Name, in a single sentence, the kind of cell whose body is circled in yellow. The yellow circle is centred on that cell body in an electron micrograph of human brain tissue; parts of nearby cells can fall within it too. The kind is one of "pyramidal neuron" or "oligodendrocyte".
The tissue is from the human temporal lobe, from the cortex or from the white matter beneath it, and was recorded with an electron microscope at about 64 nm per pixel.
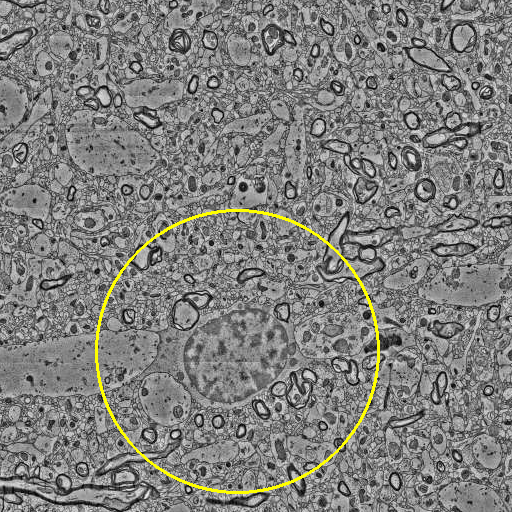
The circled cell body belongs to an oligodendrocyte.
